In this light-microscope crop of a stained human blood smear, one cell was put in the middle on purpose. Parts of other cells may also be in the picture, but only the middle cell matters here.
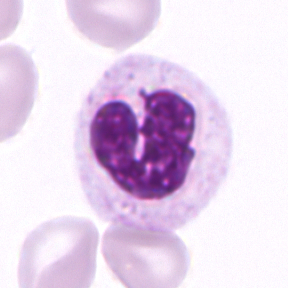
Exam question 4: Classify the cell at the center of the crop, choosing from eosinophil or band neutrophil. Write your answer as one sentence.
On this slide crop, the central cell is a band neutrophil.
